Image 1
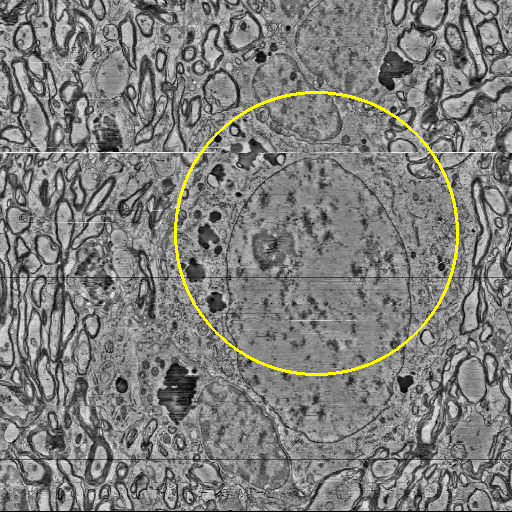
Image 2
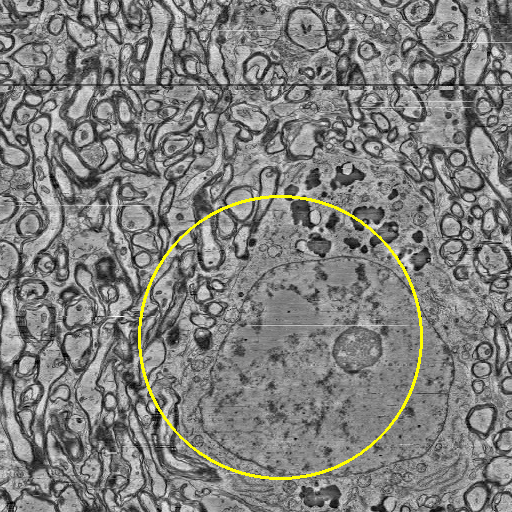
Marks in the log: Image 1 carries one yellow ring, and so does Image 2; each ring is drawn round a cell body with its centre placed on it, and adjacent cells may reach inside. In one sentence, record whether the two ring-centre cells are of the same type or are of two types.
The two cells at the ring centres, one in each image, are of the same type.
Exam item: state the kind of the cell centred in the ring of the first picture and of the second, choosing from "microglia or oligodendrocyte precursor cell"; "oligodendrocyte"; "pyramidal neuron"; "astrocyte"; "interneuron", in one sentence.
Each of the two rings surrounds a pyramidal neuron.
